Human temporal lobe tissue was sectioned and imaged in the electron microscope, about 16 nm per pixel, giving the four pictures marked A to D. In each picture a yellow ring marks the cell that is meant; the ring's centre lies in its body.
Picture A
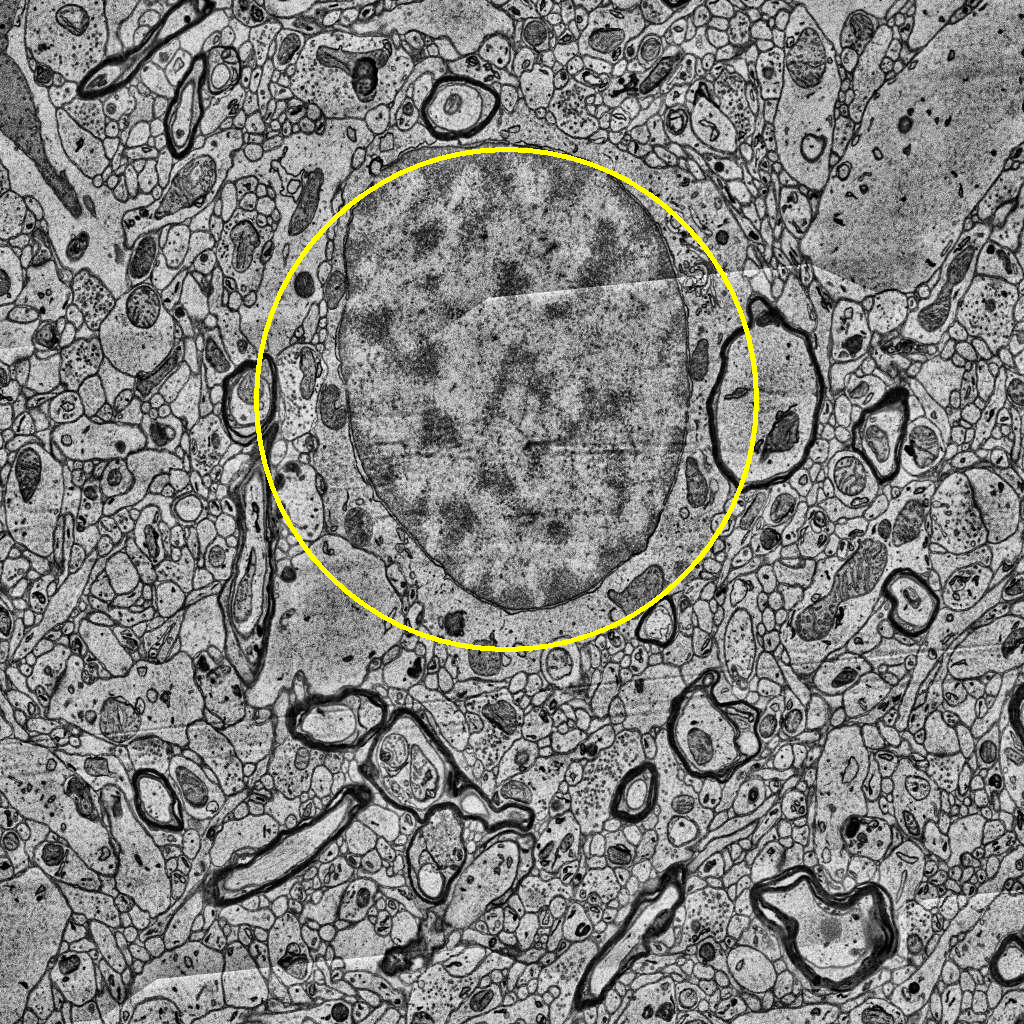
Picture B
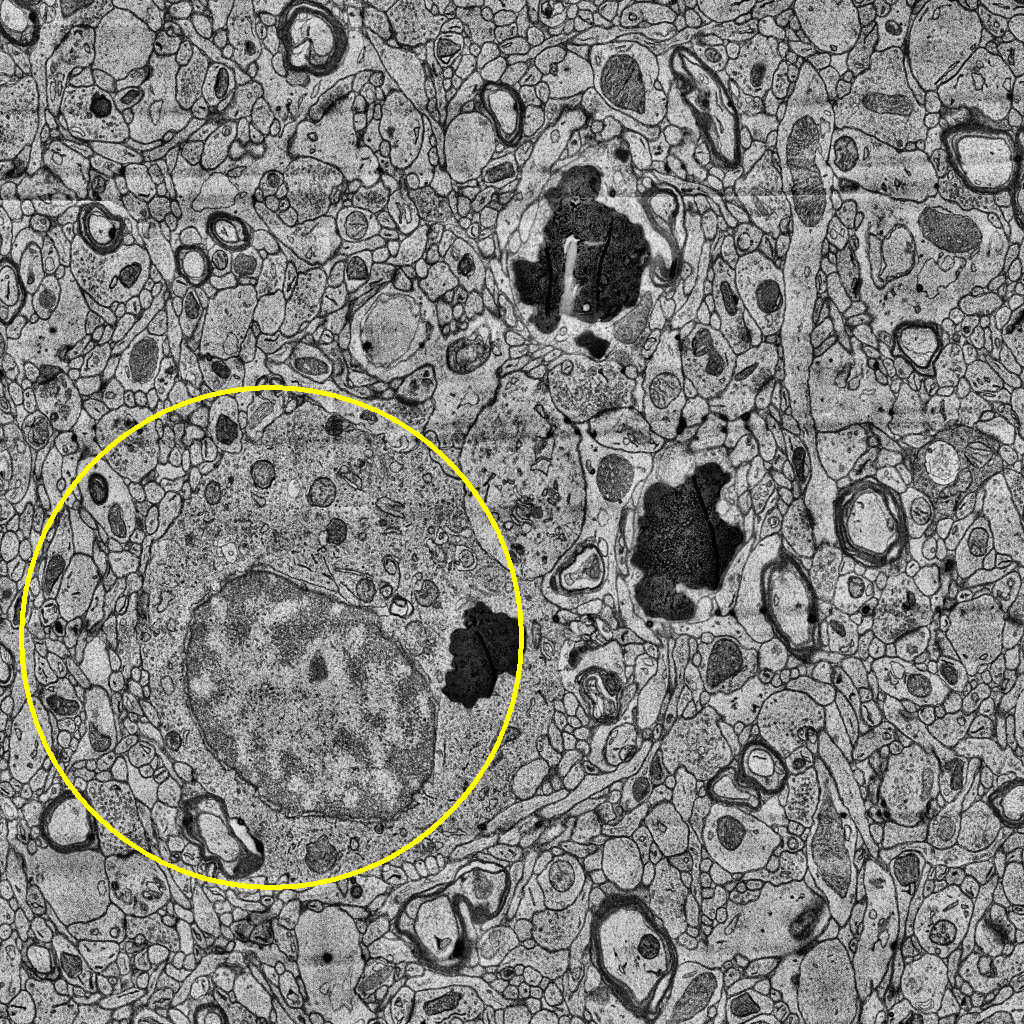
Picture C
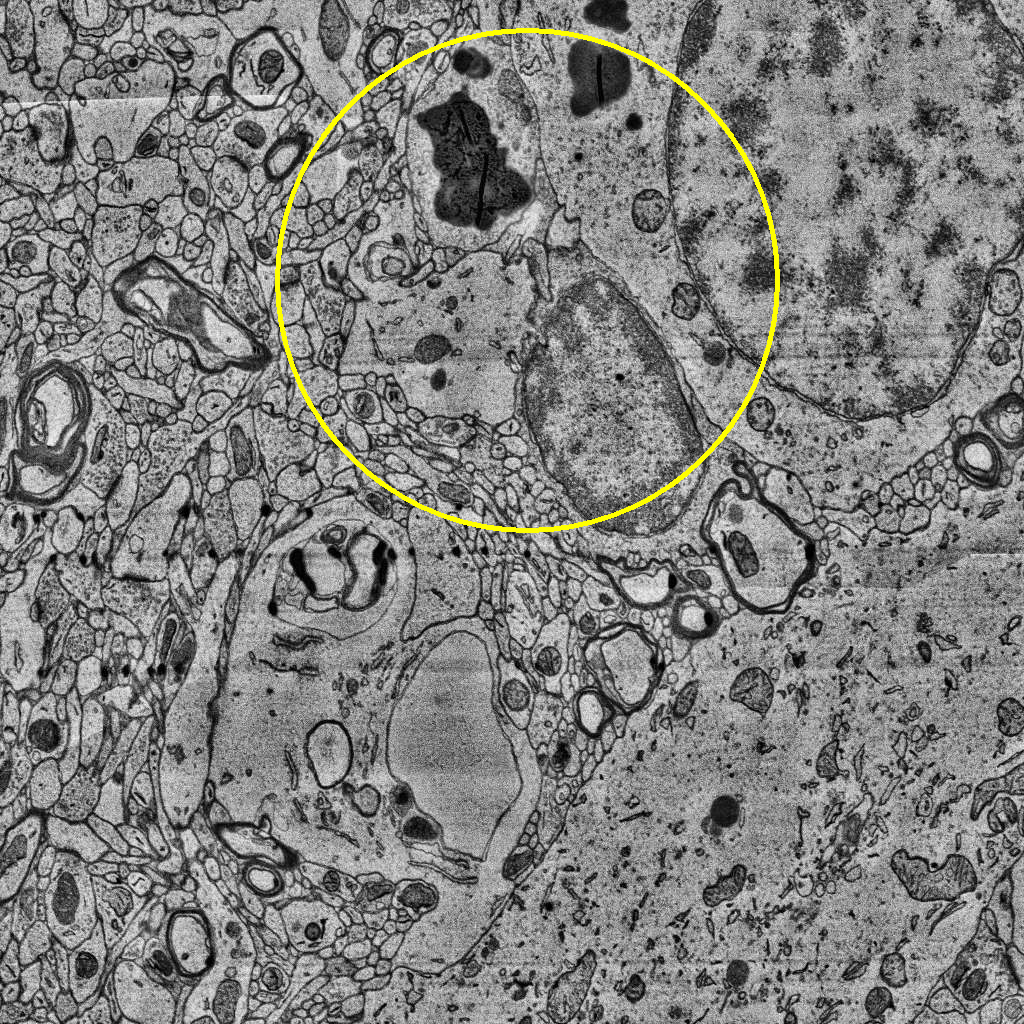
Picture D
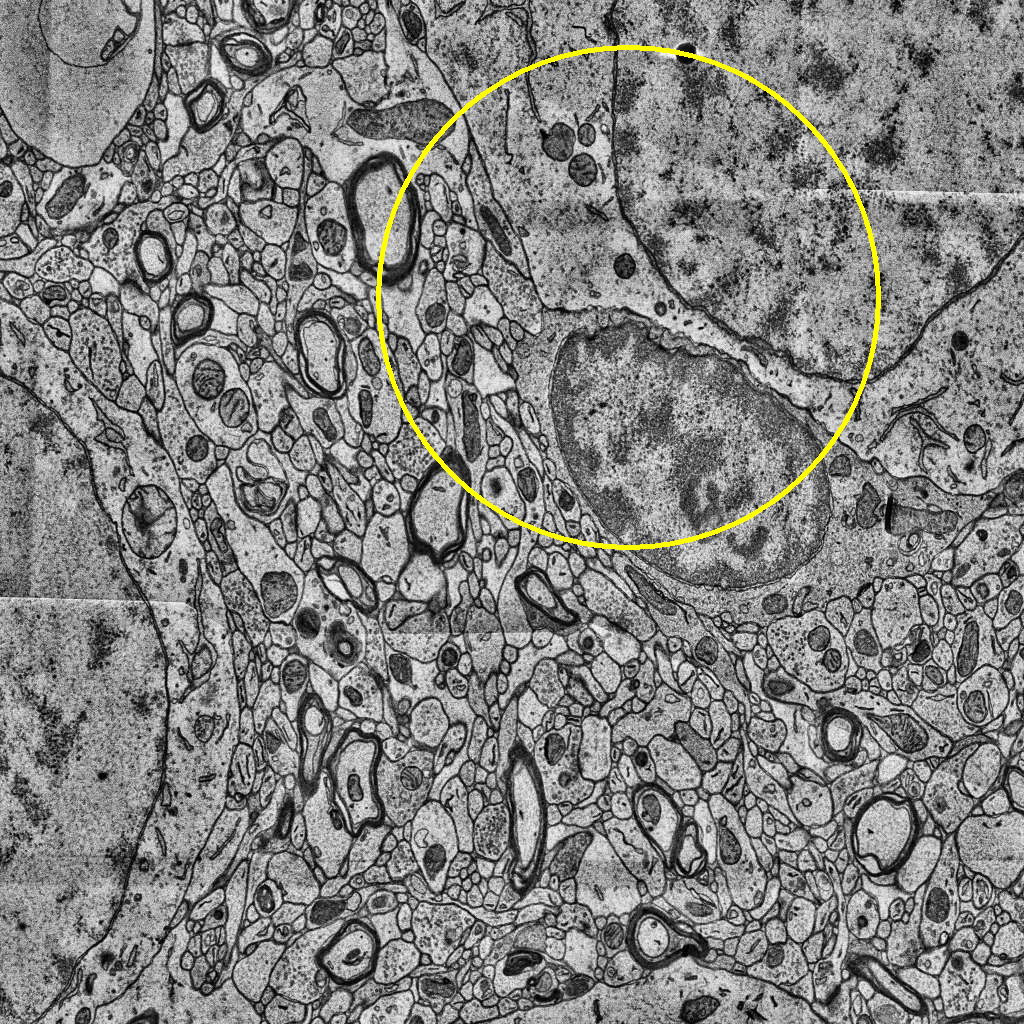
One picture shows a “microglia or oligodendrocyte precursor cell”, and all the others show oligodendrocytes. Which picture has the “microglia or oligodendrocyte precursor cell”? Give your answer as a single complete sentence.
The cell in picture C is the “microglia or oligodendrocyte precursor cell”.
